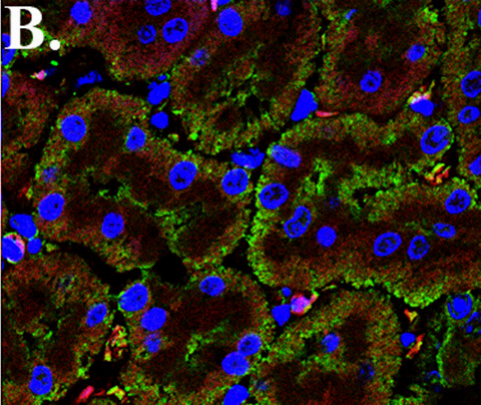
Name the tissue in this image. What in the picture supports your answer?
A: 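Cross-sections of closely packed epithelial tubules. Tubules lined by cuboidal cells with round nuclei around narrow lumens. Thin interstitial spaces between the tubules. So: kidneys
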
